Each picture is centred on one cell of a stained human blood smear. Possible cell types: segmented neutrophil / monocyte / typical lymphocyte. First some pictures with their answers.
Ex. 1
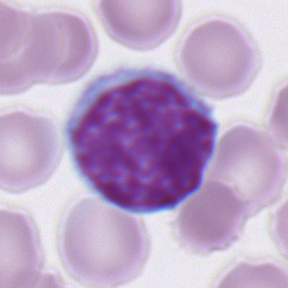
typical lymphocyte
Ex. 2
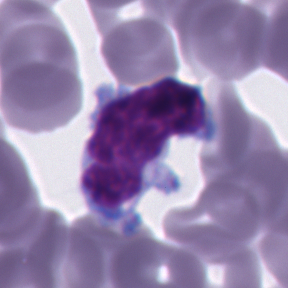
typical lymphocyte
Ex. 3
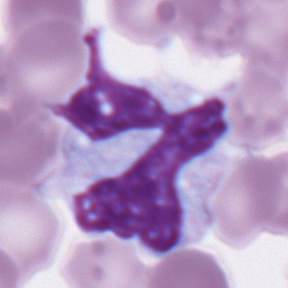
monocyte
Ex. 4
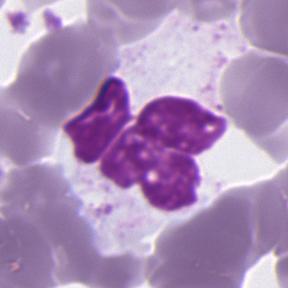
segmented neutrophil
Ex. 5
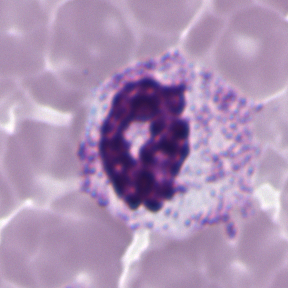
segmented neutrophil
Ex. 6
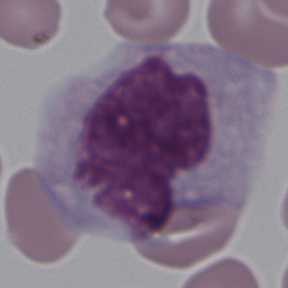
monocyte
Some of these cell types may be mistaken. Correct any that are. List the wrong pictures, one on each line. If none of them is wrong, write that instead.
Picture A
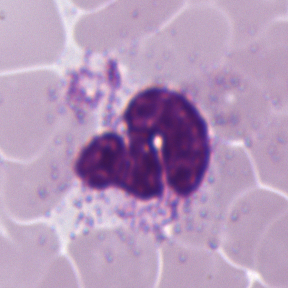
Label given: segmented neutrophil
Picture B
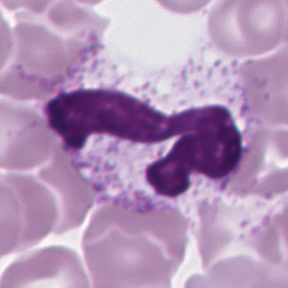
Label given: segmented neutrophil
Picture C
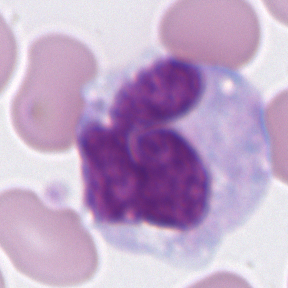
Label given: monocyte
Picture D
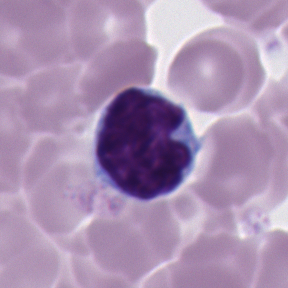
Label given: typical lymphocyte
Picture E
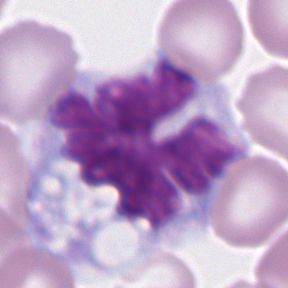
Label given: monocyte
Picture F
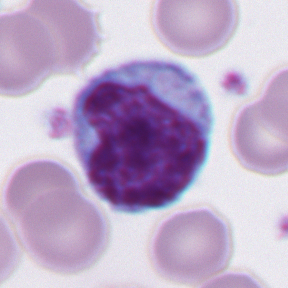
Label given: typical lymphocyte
Every label is right.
